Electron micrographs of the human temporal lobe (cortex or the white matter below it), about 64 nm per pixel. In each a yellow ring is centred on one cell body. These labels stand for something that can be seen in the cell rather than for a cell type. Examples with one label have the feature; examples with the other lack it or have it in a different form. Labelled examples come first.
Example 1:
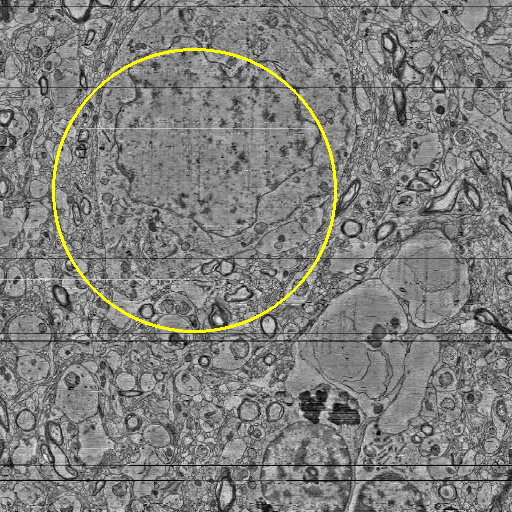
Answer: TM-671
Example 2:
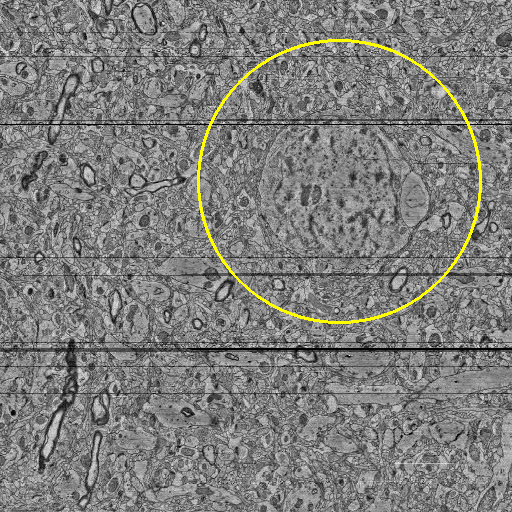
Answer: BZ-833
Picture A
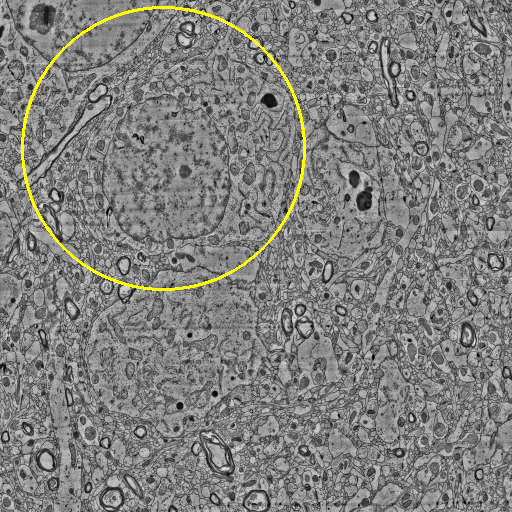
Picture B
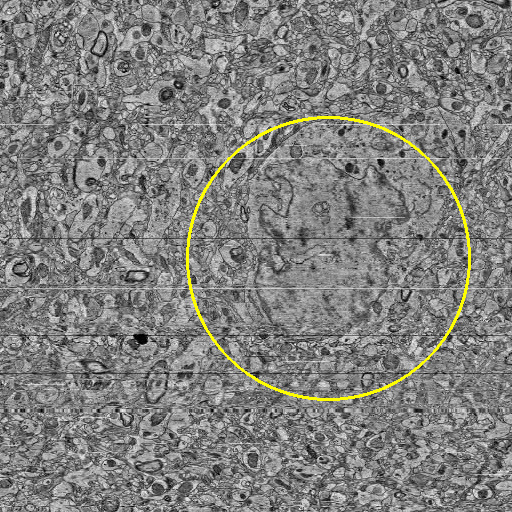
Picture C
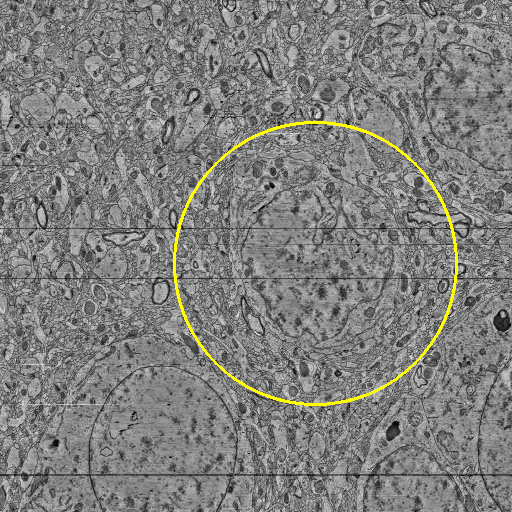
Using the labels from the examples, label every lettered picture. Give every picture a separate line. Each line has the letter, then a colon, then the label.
A: BZ-833
B: TM-671
C: TM-671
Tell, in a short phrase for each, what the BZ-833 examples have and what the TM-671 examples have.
In BZ-833: smooth nuclear envelopes without deep folds. In TM-671: deeply folded or indented nuclear envelopes.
